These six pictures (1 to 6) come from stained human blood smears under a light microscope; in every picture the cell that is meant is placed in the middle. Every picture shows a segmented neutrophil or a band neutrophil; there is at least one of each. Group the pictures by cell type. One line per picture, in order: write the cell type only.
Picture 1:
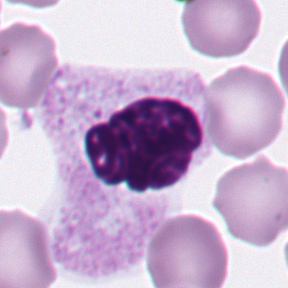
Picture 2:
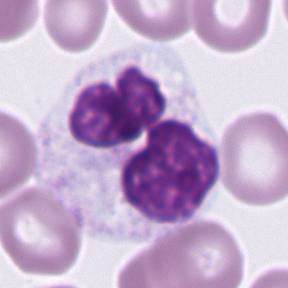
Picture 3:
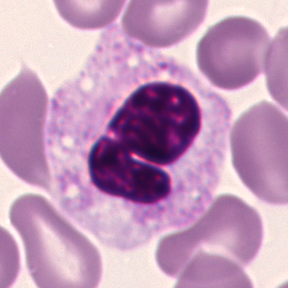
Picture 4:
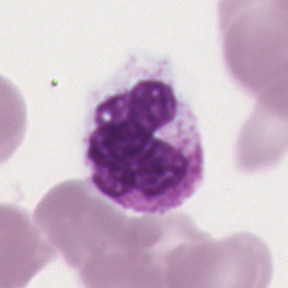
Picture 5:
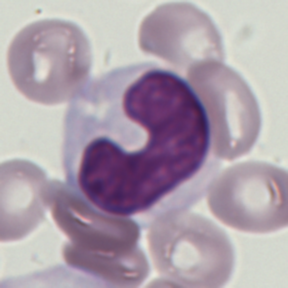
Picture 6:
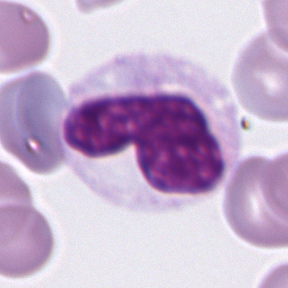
segmented neutrophil
segmented neutrophil
segmented neutrophil
segmented neutrophil
band neutrophil
band neutrophil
